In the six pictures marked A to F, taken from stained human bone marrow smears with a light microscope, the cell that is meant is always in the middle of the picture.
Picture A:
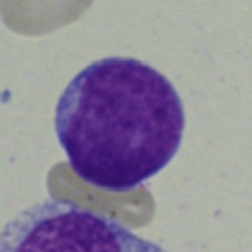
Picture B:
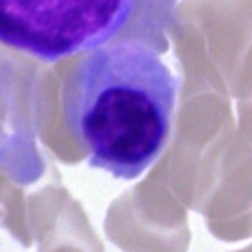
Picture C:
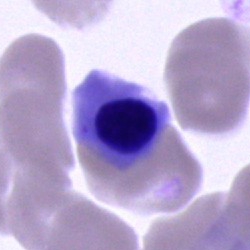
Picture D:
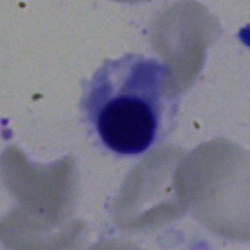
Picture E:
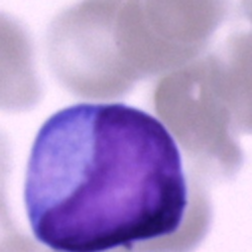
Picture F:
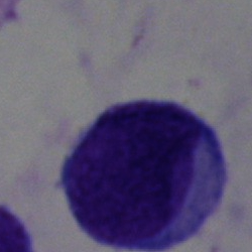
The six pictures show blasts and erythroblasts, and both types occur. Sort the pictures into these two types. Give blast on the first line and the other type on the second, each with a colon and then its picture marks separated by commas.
blast: A, E, F
erythroblast: B, C, D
